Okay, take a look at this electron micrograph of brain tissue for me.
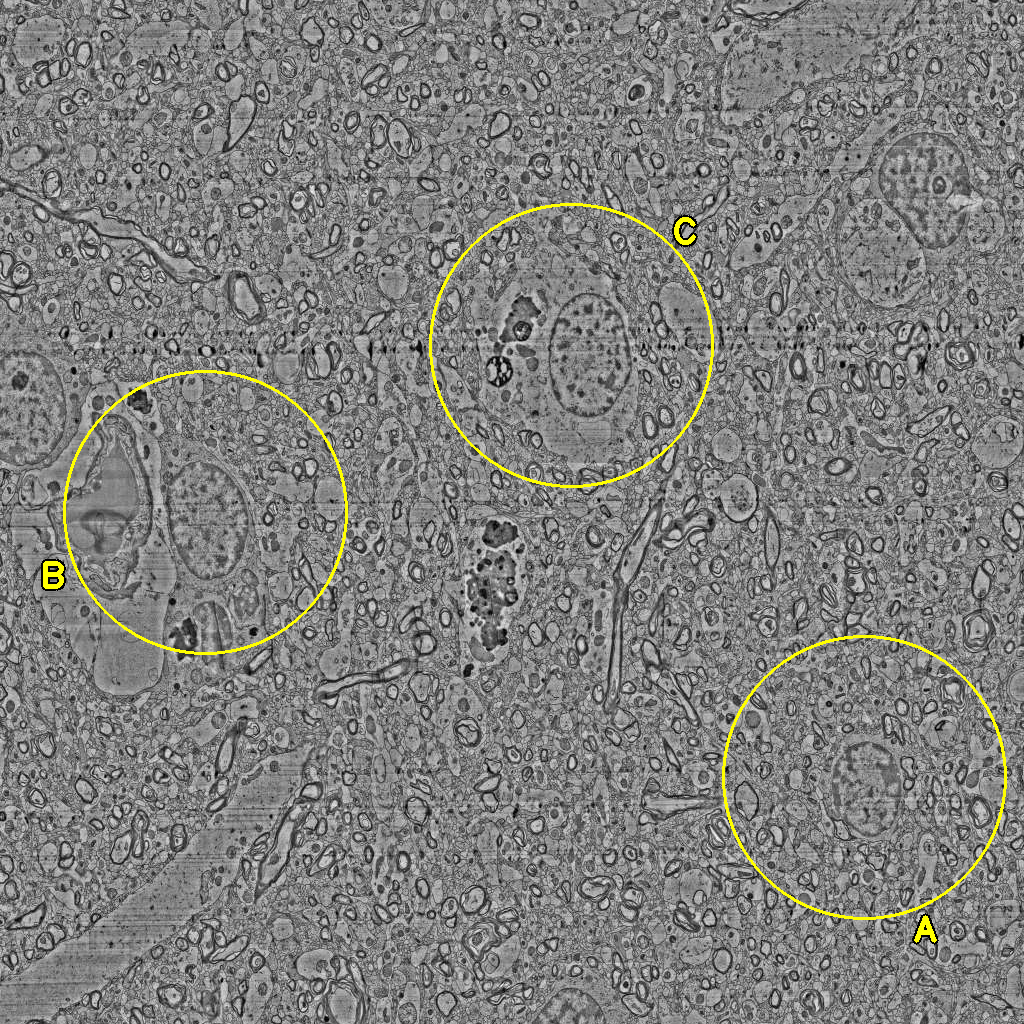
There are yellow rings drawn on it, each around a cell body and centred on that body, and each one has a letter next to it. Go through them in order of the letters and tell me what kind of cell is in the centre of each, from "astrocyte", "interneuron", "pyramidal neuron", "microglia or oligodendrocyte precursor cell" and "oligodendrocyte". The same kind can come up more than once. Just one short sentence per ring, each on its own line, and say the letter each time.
In the centre of ring A there's an oligodendrocyte.
In the centre of ring B there's an oligodendrocyte.
In the centre of ring C there's an astrocyte.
